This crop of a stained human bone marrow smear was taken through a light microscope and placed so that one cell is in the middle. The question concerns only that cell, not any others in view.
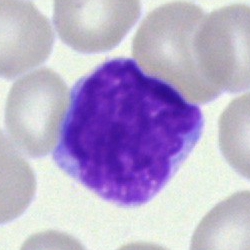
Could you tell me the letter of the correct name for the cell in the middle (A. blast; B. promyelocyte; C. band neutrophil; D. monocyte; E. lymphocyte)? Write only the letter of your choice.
A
